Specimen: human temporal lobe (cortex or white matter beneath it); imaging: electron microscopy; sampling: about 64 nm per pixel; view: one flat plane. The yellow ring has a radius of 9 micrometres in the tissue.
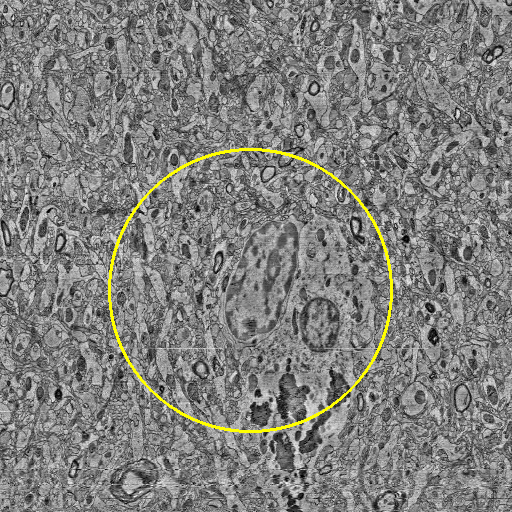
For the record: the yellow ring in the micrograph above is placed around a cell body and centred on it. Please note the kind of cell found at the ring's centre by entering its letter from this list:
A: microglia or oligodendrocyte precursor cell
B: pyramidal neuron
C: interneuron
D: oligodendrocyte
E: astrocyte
A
